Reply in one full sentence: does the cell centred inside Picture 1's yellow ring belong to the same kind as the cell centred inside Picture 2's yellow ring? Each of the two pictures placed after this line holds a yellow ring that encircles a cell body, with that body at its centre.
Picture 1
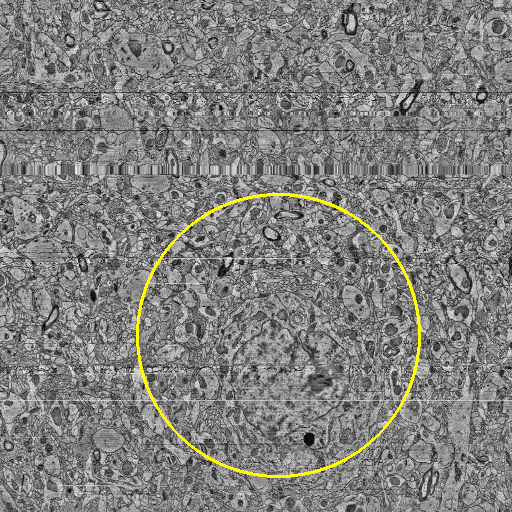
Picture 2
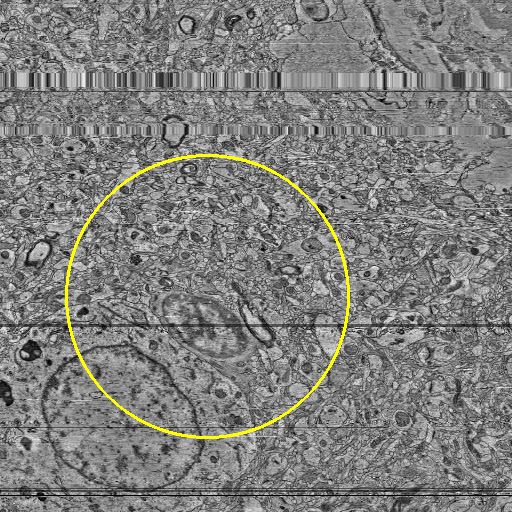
No, the ring-centred cells in Picture 1 and Picture 2 are of two separate kinds.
